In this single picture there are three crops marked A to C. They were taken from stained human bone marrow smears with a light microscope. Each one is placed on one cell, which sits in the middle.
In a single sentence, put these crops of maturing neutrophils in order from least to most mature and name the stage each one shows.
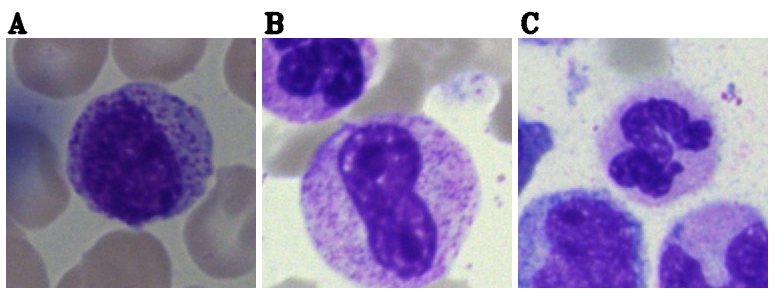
The sequence from earliest to most advanced maturity is crop A (a myelocyte), crop B (a band neutrophil) and crop C (a segmented neutrophil).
